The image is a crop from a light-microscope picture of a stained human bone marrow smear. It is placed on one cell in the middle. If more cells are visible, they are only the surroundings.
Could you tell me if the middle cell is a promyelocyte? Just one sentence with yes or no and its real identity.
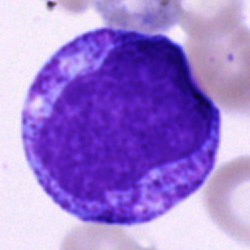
Yes, the middle cell in this crop is a promyelocyte.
